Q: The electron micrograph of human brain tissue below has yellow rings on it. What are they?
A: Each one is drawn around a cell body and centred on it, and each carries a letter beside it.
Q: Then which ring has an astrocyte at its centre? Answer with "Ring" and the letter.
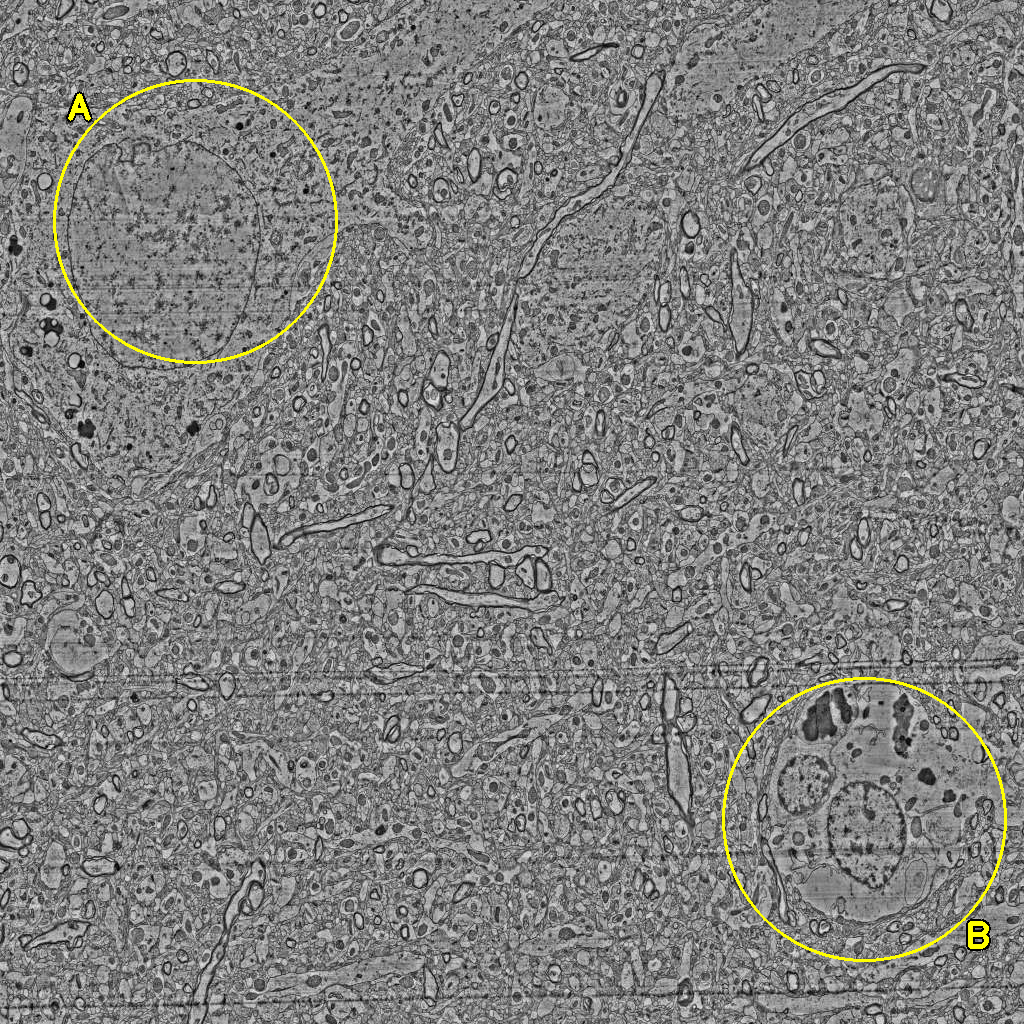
Ring B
